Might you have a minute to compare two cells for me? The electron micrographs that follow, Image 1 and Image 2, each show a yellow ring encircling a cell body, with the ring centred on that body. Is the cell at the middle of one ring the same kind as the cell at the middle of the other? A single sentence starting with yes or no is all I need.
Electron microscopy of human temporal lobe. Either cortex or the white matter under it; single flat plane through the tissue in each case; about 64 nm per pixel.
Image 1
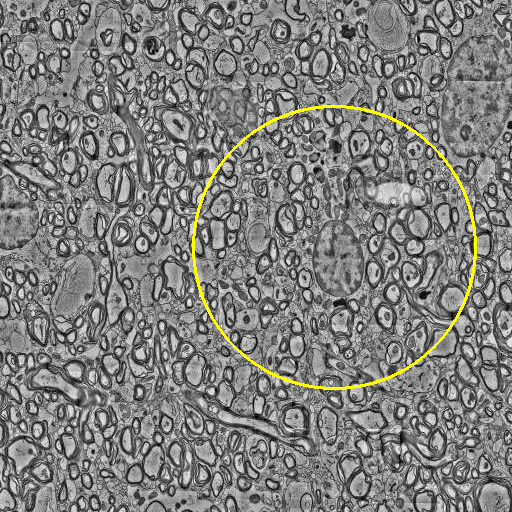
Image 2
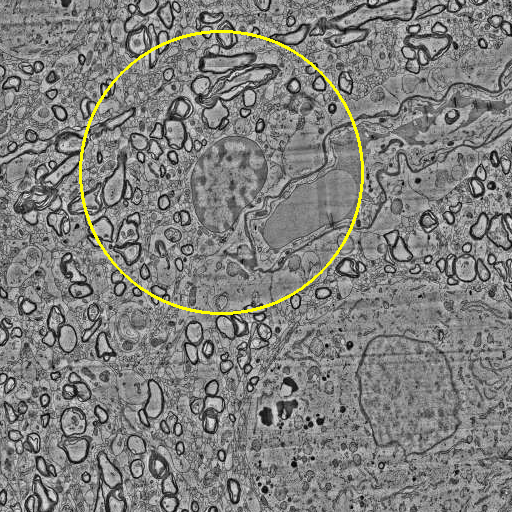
Yes, the cells in the middle of the two rings are of one shared kind.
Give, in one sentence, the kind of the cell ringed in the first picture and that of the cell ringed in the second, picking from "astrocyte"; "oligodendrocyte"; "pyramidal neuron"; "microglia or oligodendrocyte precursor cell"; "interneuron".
In both pictures the ring is centred on a microglial cell or oligodendrocyte precursor cell.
